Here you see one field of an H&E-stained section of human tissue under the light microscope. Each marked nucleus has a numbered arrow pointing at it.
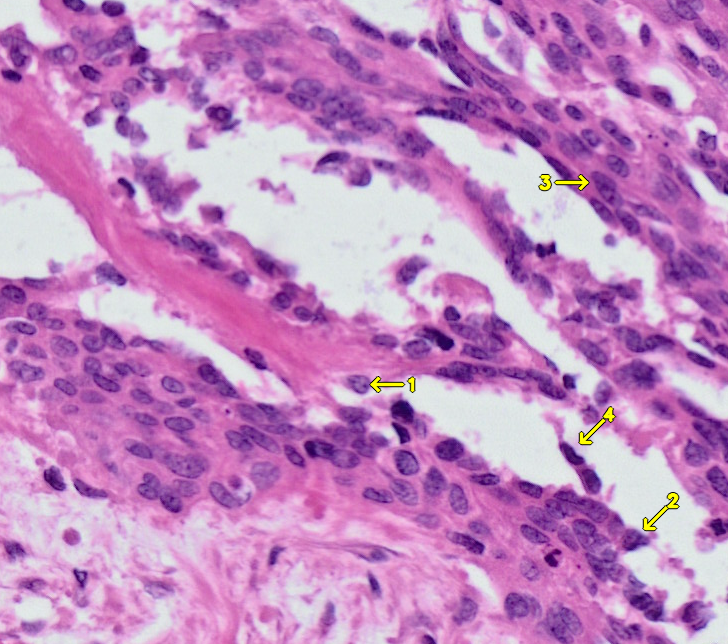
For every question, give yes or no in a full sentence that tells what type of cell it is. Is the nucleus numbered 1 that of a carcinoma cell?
No, a macrophage or monocyte is what cell 1 is, not a carcinoma cell.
